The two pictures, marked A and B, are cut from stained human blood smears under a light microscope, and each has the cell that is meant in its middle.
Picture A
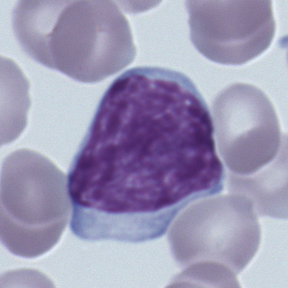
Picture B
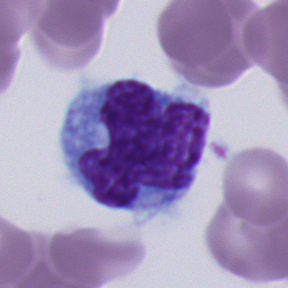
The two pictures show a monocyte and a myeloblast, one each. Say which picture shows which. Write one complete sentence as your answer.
Picture B shows a monocyte, while picture A shows a myeloblast.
